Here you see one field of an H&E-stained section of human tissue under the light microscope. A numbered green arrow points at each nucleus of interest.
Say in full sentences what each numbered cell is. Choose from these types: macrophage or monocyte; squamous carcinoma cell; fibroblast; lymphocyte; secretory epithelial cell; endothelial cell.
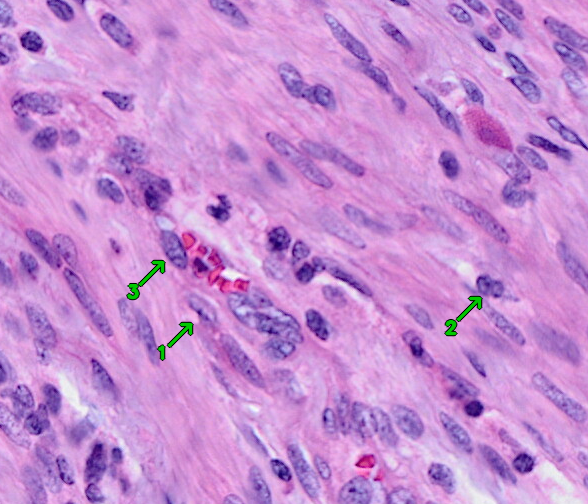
Cell 1 is an endothelial cell, cell 2 is a lymphocyte and cell 3 is an endothelial cell.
